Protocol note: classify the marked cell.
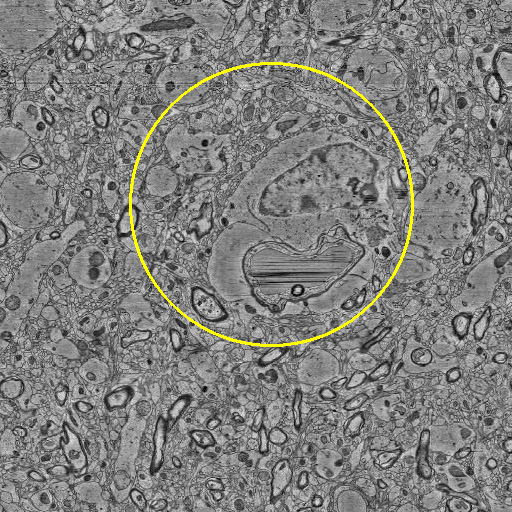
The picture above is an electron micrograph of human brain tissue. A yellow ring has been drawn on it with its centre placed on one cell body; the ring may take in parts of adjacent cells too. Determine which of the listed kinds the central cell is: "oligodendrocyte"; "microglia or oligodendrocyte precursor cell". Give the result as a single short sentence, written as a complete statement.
The central cell is a microglial cell or oligodendrocyte precursor cell.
